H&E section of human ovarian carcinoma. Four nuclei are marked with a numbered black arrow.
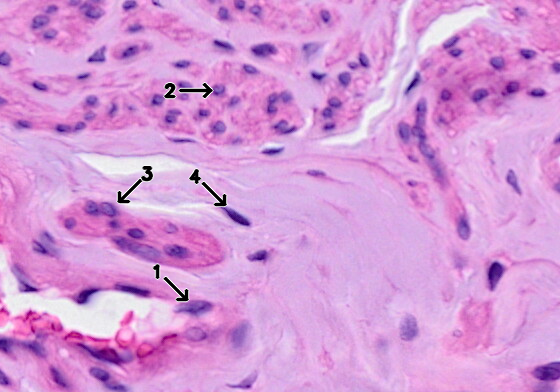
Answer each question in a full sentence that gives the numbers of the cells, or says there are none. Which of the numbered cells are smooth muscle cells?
The cells whose numbers are 2 and 3 are smooth muscle cells.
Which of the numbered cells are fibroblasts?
Cell 4 is the only one of the numbered cells that is a fibroblast.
